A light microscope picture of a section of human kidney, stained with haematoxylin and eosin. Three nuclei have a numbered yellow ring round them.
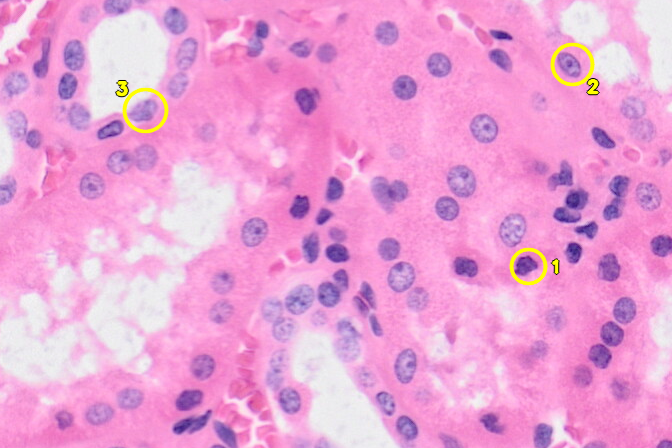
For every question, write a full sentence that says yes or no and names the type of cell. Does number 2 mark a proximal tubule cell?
Yes, in this tissue section, number 2 is a proximal tubule cell.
